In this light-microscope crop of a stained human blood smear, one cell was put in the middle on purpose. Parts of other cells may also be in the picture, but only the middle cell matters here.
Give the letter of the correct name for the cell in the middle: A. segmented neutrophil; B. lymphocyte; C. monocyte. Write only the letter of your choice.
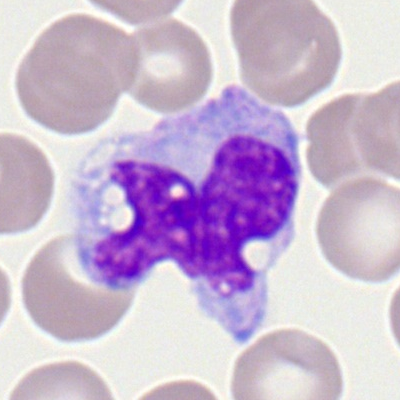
C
